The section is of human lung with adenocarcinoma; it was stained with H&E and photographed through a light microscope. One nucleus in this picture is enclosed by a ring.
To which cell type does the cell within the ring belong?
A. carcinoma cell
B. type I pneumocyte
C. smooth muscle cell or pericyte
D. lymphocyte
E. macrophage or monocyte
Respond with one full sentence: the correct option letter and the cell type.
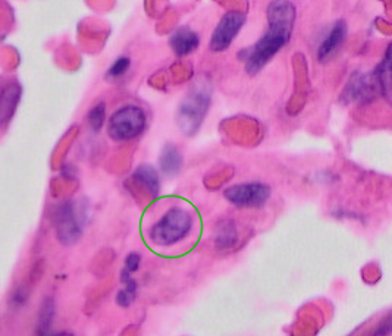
Option B names it right: the cell within the ring is a type I pneumocyte.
